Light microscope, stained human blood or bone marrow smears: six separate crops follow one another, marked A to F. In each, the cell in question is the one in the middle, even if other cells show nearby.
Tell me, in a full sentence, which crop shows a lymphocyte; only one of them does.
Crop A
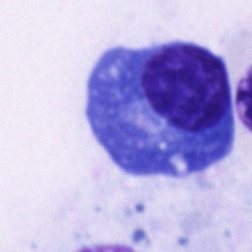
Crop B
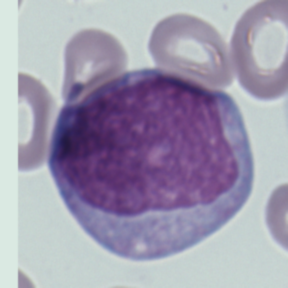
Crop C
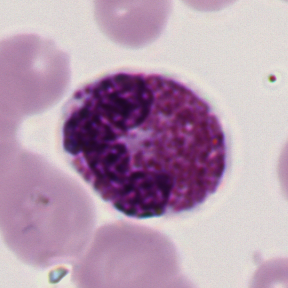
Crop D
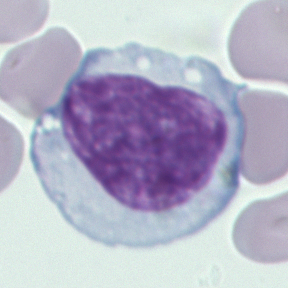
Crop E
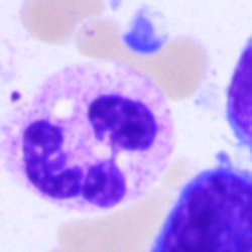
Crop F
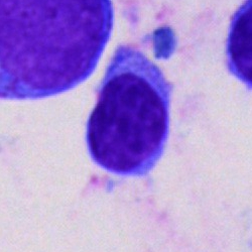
It is crop F, not any other, that shows a lymphocyte.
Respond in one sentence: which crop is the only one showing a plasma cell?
Of the crops given, a plasma cell is found in crop A.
